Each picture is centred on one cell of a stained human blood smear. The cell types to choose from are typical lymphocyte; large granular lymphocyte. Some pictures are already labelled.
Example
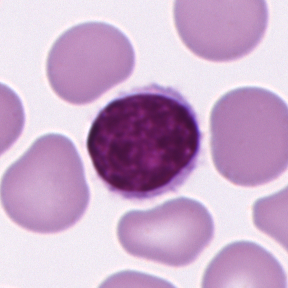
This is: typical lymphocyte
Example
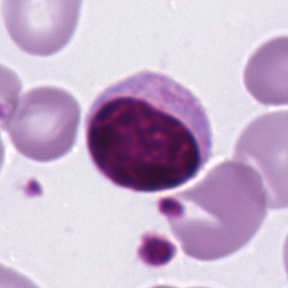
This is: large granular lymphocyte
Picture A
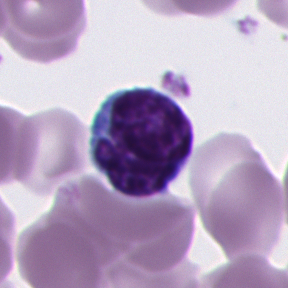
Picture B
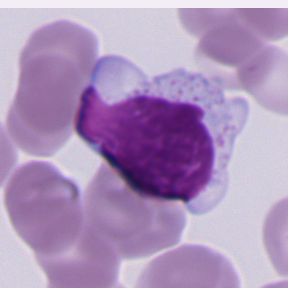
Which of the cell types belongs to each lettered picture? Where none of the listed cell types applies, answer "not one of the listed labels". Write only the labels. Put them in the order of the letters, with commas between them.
typical lymphocyte, large granular lymphocyte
